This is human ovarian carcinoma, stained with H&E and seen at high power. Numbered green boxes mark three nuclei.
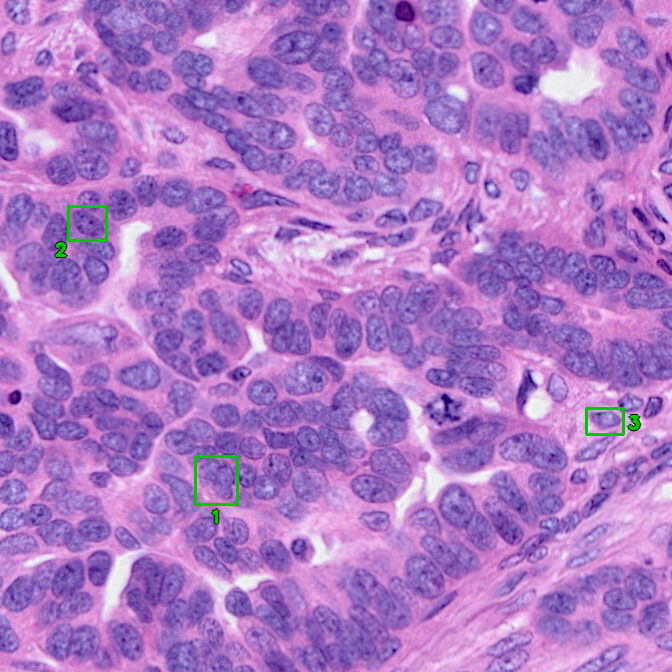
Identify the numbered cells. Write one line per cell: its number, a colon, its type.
1: carcinoma cell
2: carcinoma cell
3: fibroblast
